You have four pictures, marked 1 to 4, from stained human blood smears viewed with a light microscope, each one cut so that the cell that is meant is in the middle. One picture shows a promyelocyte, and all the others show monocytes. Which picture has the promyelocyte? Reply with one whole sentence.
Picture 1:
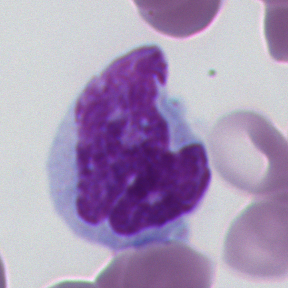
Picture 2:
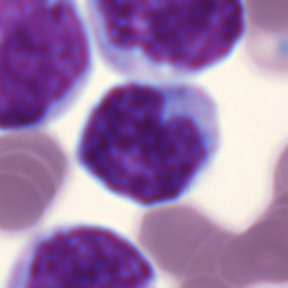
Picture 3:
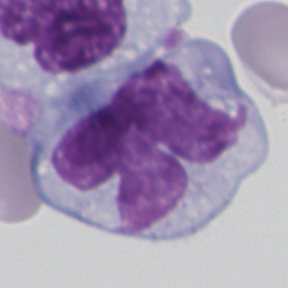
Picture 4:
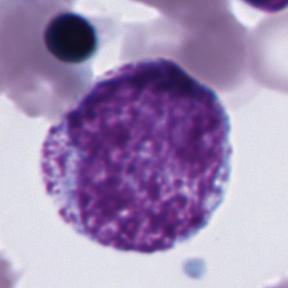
Picture 4 shows the promyelocyte.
